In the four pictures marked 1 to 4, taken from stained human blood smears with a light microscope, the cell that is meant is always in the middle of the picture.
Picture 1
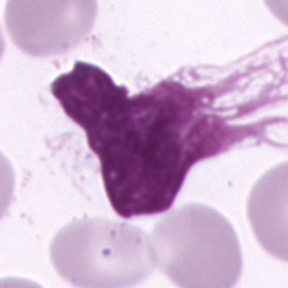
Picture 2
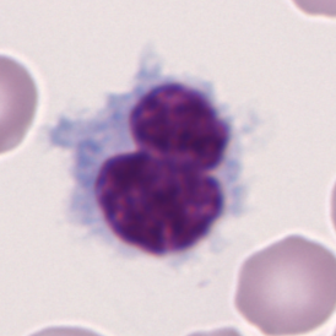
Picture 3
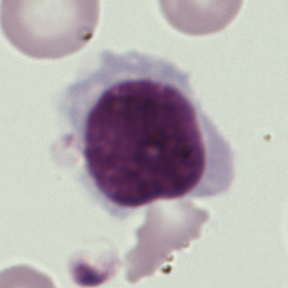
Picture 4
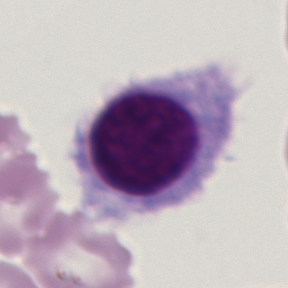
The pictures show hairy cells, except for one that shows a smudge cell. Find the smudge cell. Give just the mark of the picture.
1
